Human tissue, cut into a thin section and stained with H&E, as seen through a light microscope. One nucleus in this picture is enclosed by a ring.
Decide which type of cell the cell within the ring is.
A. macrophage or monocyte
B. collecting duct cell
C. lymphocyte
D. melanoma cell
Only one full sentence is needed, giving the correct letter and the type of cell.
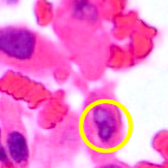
Of the options given, A is right: the cell within the ring is a macrophage or monocyte.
